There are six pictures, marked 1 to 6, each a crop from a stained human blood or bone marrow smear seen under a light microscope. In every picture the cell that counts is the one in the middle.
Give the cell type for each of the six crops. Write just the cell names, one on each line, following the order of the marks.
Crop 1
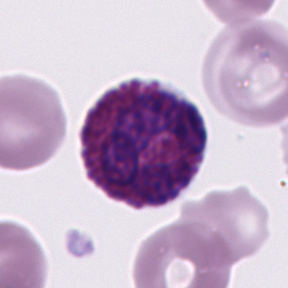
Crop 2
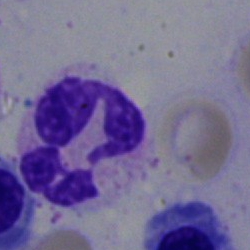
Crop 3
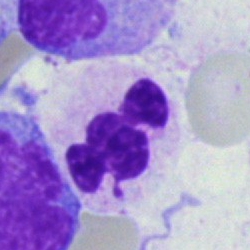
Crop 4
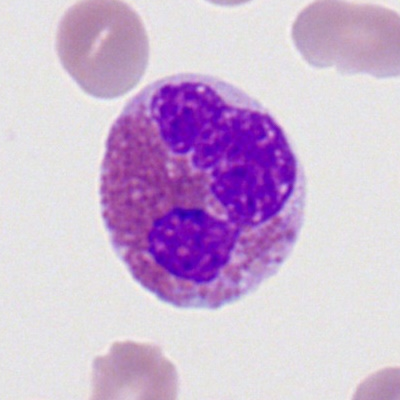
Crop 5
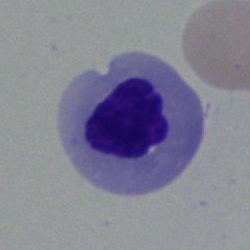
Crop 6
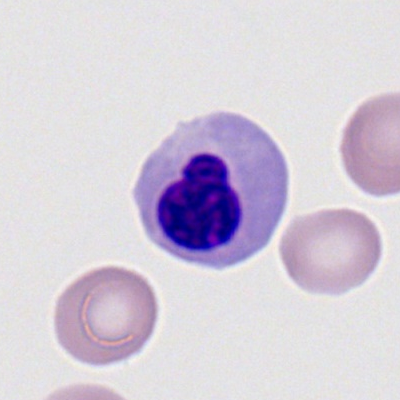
eosinophil
segmented neutrophil
segmented neutrophil
eosinophil
erythroblast
erythroblast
